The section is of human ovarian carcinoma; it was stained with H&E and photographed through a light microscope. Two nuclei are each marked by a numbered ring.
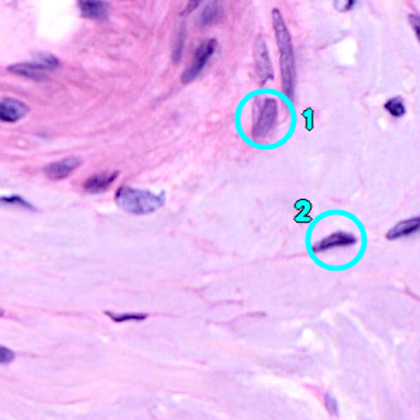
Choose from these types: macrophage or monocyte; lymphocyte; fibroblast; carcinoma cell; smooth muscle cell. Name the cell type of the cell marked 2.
fibroblast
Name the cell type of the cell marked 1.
smooth muscle cell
